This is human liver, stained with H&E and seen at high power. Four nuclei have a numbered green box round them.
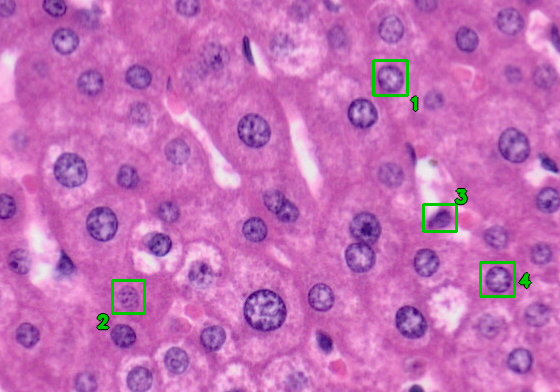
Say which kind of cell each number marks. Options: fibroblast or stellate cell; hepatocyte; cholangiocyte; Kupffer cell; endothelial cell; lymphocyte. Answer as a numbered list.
1. hepatocyte
2. hepatocyte
3. Kupffer cell
4. hepatocyte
